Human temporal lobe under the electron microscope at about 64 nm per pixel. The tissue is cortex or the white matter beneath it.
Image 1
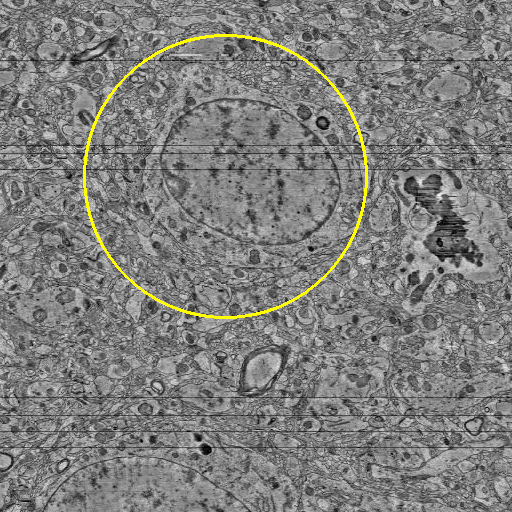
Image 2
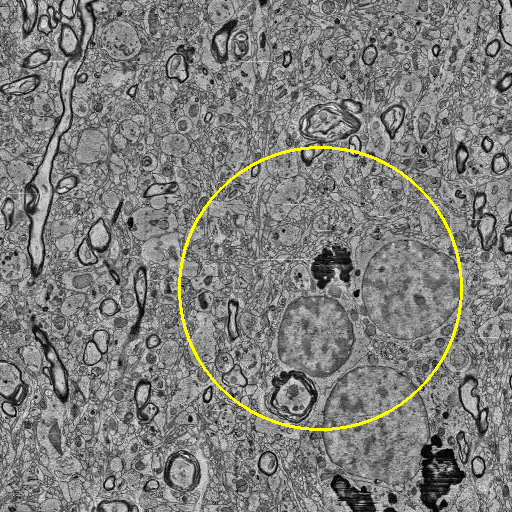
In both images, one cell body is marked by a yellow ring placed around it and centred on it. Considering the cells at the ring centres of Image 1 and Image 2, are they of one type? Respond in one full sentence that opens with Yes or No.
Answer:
No, two types apply to the ring-centred cells of Image 1 and Image 2.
